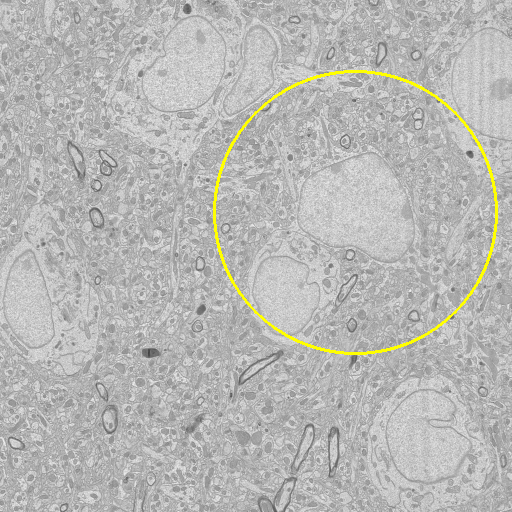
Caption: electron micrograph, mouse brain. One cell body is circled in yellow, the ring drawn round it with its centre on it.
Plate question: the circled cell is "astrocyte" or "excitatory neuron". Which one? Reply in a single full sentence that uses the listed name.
The yellow ring on the plate is centred on an astrocyte, going by the listed names.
